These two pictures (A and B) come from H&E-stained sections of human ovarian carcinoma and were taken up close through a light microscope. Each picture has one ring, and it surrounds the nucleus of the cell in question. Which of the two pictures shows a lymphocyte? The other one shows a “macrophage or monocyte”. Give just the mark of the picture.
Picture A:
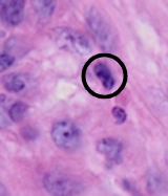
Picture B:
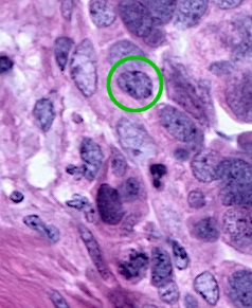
A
